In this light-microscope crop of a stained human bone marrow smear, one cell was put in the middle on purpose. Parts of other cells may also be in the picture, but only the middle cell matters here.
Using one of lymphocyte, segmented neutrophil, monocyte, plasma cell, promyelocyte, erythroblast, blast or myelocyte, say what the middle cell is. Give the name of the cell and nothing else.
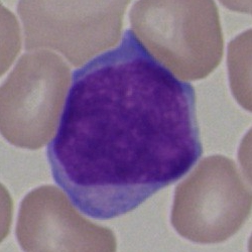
blast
